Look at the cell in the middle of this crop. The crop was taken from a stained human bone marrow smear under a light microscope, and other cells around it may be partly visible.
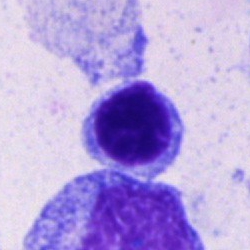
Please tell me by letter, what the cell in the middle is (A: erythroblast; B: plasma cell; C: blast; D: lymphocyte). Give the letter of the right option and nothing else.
A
